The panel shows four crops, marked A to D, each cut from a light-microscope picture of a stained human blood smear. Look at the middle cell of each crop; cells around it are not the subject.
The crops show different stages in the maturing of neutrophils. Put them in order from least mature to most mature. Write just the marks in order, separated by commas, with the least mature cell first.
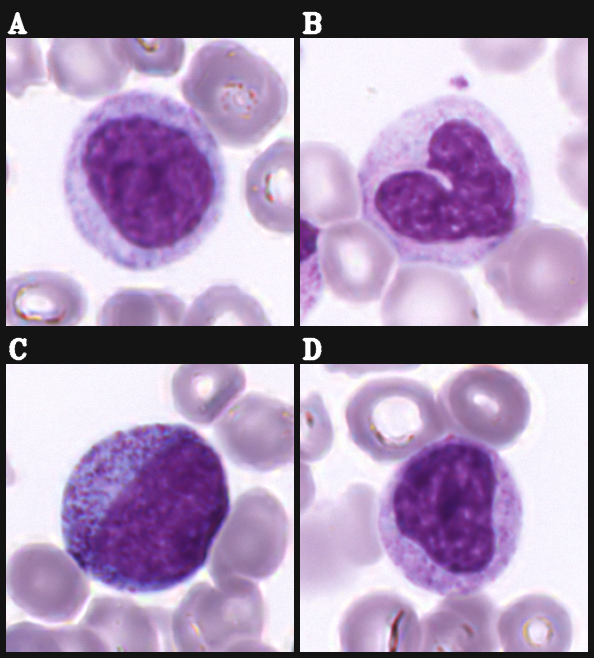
C, A, D, B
